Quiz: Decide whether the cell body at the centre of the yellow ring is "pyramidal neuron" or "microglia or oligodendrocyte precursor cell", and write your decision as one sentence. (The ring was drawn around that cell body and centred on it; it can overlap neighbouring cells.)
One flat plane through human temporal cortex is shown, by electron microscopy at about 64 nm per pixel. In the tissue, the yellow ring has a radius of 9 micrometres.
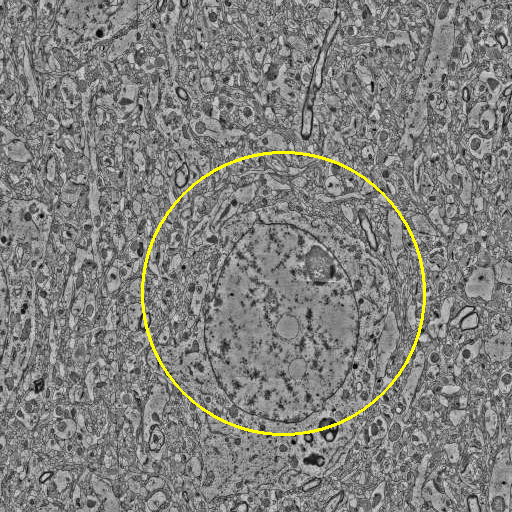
The cell the ring is centred on is a pyramidal neuron.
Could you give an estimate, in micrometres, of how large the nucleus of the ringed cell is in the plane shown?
In this plane the nucleus measures roughly 13 by 10 micrometers.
